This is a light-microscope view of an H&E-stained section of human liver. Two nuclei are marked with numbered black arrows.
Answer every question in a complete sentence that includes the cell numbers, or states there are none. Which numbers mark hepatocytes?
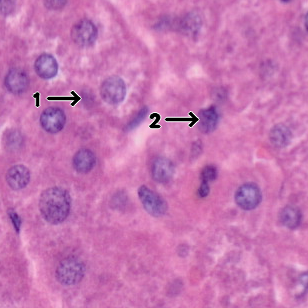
Of those with numbers, only cell 1 is a hepatocyte.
